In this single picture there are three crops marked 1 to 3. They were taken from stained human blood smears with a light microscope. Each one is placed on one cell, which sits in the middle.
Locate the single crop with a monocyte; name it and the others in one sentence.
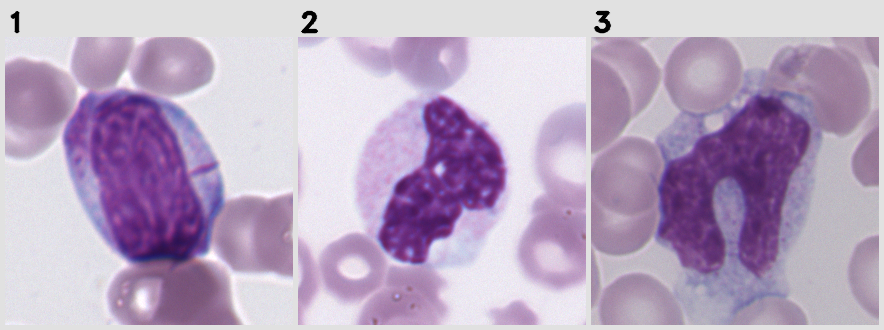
Crop 3 presents a monocyte, while crop 1 is an atypical promyelocyte and crop 2 is a segmented neutrophil.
